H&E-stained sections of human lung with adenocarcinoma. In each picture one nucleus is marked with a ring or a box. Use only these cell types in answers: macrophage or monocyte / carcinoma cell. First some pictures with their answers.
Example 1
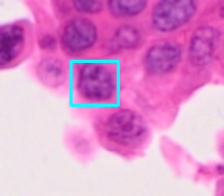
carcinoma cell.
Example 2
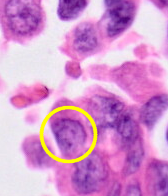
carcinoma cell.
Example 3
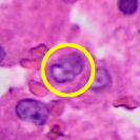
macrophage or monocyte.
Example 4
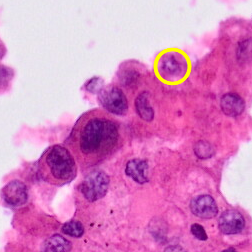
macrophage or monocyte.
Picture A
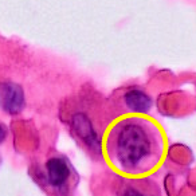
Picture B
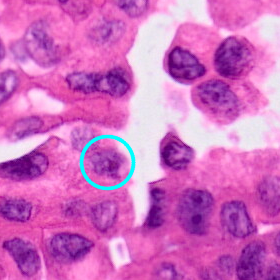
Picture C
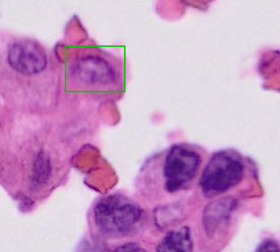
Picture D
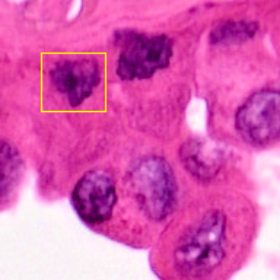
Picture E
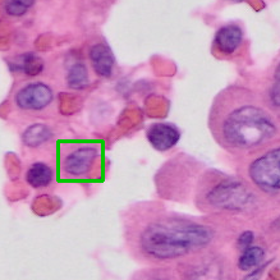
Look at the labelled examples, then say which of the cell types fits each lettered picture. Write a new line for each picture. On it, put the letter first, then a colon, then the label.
A: macrophage or monocyte.
B: carcinoma cell.
C: macrophage or monocyte.
D: carcinoma cell.
E: macrophage or monocyte.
